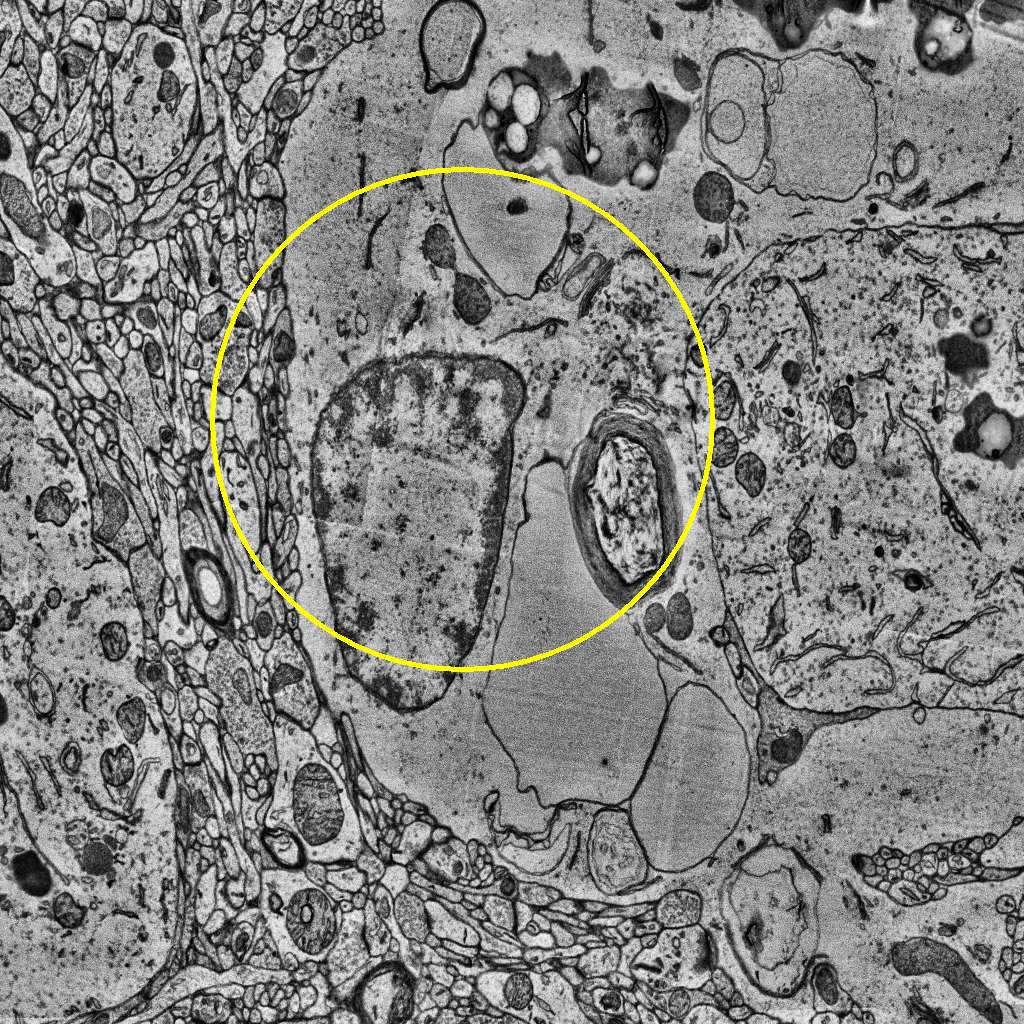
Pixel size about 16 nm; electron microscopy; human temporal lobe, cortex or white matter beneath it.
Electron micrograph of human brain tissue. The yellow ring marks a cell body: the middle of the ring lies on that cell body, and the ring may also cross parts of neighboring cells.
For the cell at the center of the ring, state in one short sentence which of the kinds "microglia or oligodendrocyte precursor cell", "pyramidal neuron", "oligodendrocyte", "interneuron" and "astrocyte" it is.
This ring's center lies on an astrocyte.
